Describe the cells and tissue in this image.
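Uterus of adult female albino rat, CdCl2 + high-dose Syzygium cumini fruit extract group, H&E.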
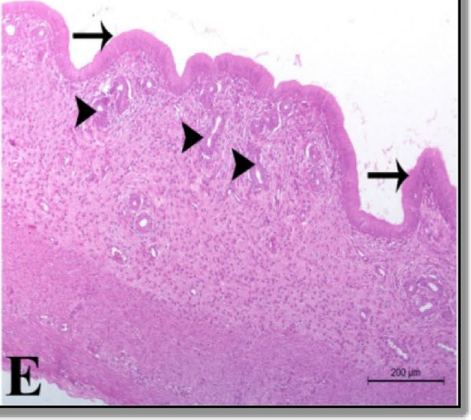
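Endometrium with an undulating surface lined by a continuous layer of tall epithelial cells. The underlying pink stroma contains many round and oval gland profiles with open lumina, each lined by epithelial cells, lying close beneath the surface. A denser, more compact layer runs along the deep side of the section.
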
